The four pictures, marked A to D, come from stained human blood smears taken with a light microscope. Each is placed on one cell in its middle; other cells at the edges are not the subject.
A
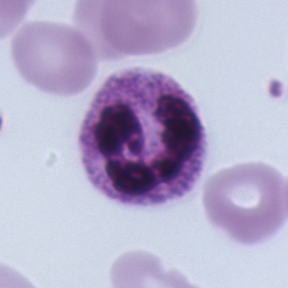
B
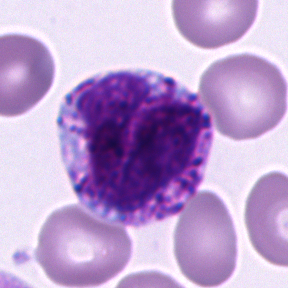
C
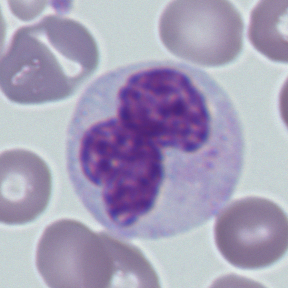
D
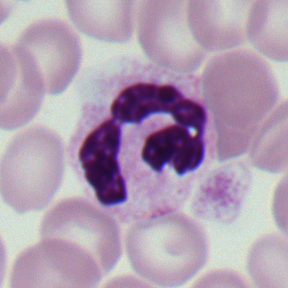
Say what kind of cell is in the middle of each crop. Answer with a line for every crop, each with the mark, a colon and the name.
A: neutrophil
B: basophil
C: neutrophil
D: neutrophil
